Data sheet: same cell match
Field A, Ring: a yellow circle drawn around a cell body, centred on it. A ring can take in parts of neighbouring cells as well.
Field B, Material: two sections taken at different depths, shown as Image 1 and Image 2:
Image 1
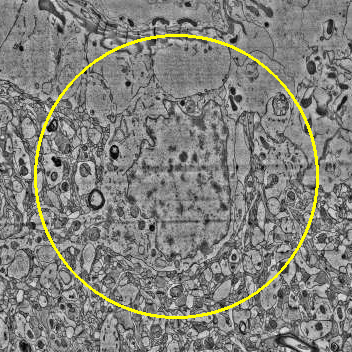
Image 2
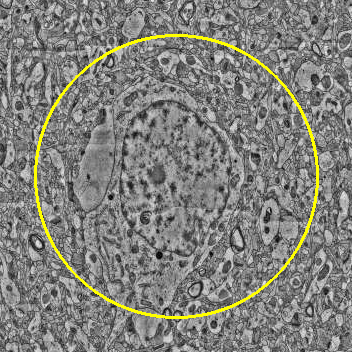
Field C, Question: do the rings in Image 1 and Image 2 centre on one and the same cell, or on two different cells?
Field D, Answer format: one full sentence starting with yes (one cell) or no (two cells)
No, the cells within these rings are two separate cells.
